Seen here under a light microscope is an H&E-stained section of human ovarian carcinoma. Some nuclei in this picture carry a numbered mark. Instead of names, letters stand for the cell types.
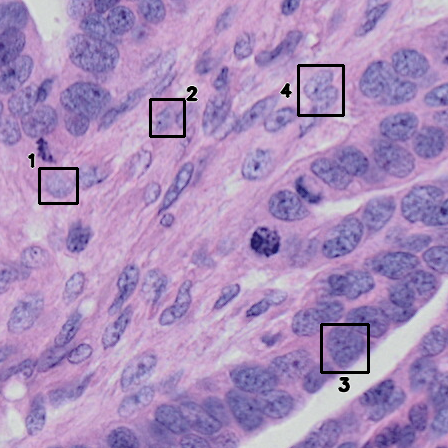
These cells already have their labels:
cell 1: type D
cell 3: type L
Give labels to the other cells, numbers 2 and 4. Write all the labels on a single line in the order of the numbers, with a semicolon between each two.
type D; type D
